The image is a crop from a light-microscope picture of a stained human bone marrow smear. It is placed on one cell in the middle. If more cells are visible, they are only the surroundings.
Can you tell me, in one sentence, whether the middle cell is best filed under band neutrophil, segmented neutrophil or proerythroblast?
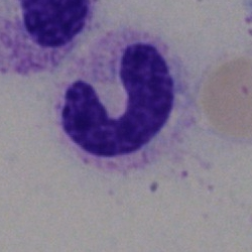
Where the crop is centred, there is a band neutrophil.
